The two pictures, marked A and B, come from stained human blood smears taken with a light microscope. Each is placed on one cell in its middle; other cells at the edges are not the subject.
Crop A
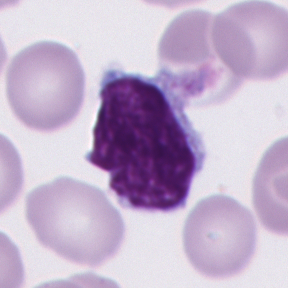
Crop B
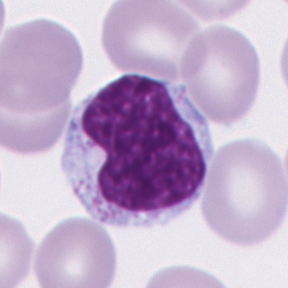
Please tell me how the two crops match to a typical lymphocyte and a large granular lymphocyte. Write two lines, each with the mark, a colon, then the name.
A: typical lymphocyte
B: large granular lymphocyte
